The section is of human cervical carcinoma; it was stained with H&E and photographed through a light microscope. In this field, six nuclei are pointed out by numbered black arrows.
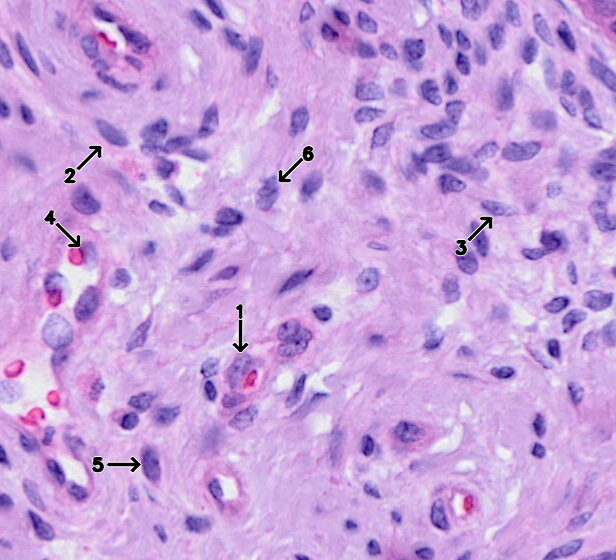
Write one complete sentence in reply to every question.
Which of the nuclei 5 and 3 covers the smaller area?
It is nucleus 3; nucleus 5 has about 1.5 times its area.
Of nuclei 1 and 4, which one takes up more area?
Nucleus 1 is the larger one, covering about 1.5 times the area of nucleus 4.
